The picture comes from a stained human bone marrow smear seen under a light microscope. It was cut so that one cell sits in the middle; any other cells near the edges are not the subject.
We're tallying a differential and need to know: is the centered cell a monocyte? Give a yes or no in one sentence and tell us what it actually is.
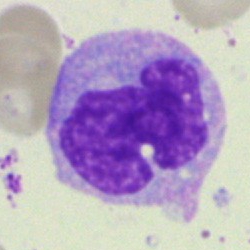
Yes, it is a monocyte that is seen at the centre of the crop.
